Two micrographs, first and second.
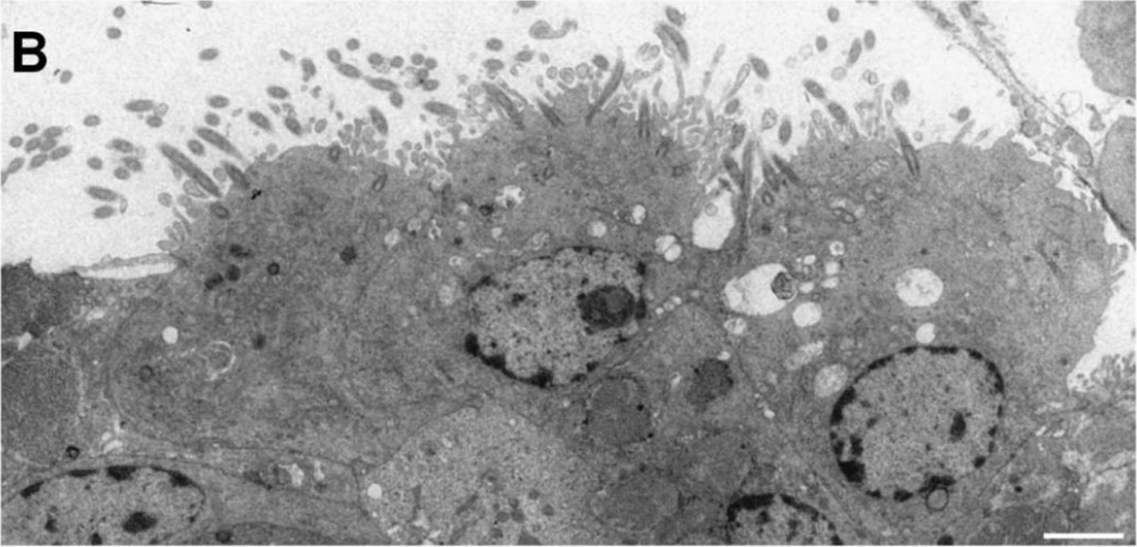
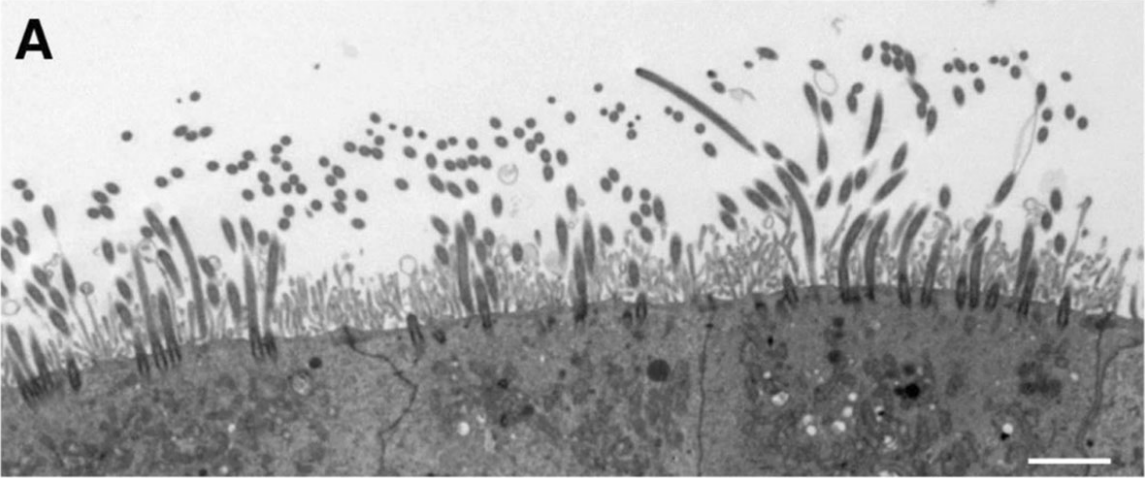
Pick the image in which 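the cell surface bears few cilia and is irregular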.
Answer: the first image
